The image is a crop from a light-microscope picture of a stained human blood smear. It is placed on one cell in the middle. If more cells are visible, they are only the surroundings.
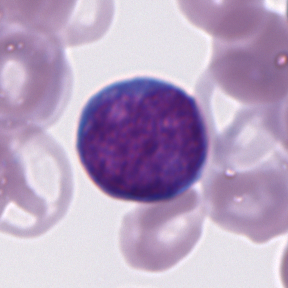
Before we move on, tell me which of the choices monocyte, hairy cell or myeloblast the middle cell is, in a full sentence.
In the crop, the cell of interest at the centre is a myeloblast.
